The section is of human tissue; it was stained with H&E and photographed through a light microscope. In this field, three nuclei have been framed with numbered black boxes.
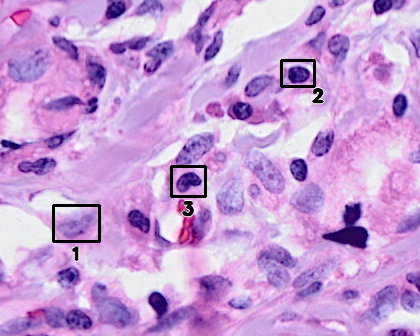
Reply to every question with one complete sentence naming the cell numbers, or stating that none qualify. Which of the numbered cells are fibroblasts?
Whereas cell 1 is a fibroblast, the other numbered cells are not.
